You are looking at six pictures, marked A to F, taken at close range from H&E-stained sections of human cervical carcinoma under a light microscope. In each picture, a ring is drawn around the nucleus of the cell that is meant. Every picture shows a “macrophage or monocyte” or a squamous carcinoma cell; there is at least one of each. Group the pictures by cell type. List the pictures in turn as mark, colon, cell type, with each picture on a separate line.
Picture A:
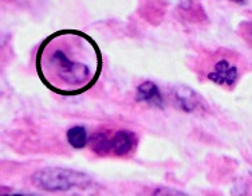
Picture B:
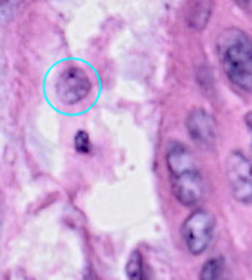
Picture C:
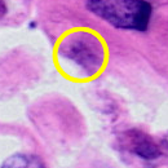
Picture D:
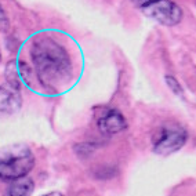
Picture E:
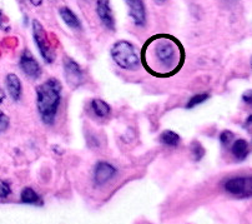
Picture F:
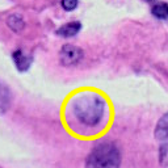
A: macrophage or monocyte
B: macrophage or monocyte
C: squamous carcinoma cell
D: squamous carcinoma cell
E: squamous carcinoma cell
F: squamous carcinoma cell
